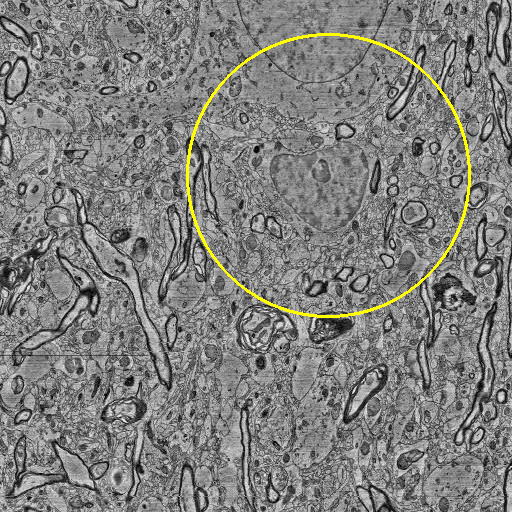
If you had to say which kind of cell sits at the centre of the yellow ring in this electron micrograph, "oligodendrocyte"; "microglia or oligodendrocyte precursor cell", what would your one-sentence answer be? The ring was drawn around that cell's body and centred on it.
The cell sitting at the centre of the ring is an oligodendrocyte.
